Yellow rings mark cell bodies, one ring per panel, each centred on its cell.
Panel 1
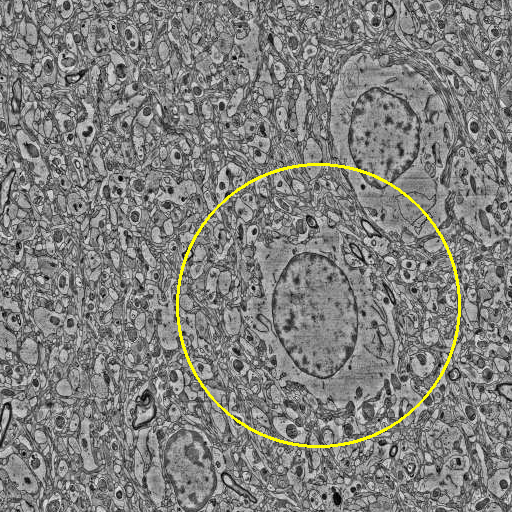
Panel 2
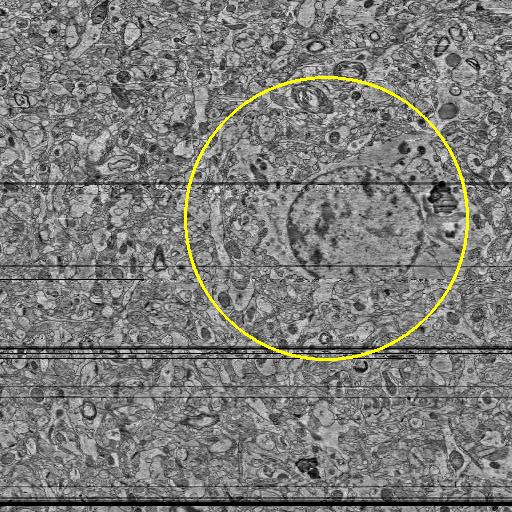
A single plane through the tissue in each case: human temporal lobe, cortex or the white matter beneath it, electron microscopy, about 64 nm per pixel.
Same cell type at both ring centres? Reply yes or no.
yes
